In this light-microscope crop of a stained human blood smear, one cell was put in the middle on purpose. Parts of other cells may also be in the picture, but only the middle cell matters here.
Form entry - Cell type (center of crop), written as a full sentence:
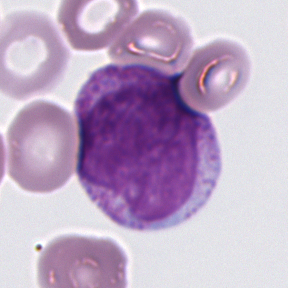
Here the cell in the middle is an atypical promyelocyte.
